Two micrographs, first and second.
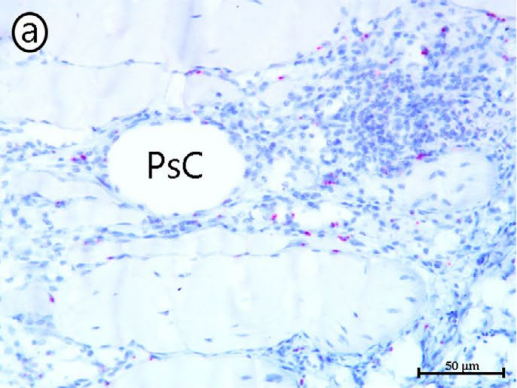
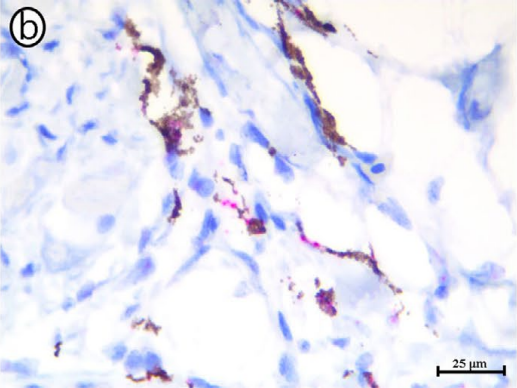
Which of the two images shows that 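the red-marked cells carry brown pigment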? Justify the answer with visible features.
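The second image. Second image: red dots lie along strands of brown granular pigment. First image: red dots lie among blue-stained cells with no brown pigment.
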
